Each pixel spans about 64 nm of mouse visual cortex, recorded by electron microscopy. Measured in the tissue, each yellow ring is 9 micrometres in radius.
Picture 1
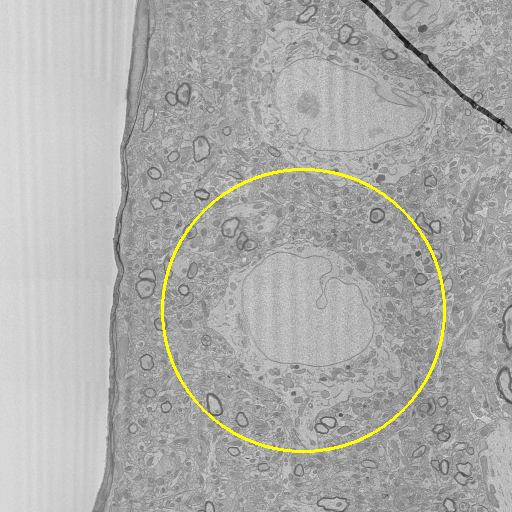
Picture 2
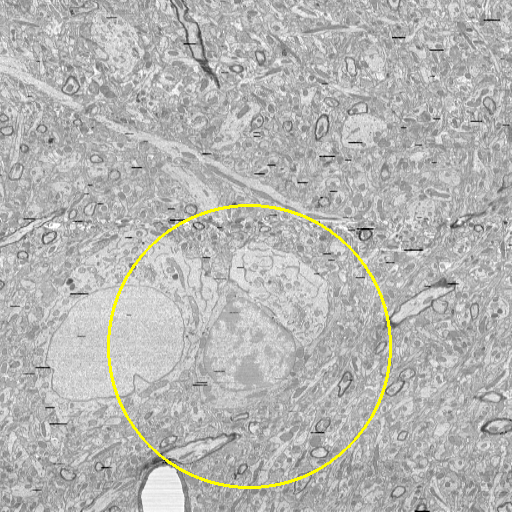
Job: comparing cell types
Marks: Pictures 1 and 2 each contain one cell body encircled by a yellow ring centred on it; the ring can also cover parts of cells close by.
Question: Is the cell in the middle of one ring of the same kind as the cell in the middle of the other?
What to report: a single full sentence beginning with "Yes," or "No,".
No, the cell at the ring centre in Picture 1 and its partner in Picture 2 are of two kinds.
